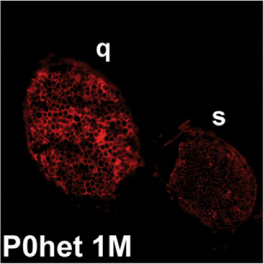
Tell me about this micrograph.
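These are cross sections through peripheral nerve fascicles, a larger one above and a smaller one below to the right. The red label outlines the many densely packed, round nerve fibres as a honeycomb, showing the endoneurium throughout each fascicle. The outer border of the fascicles, the perineurium, is only faintly rimmed, no brighter than the network of fibres inside.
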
